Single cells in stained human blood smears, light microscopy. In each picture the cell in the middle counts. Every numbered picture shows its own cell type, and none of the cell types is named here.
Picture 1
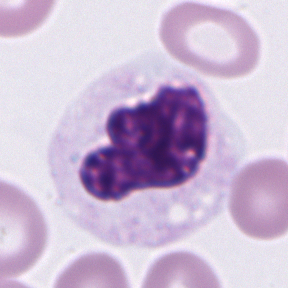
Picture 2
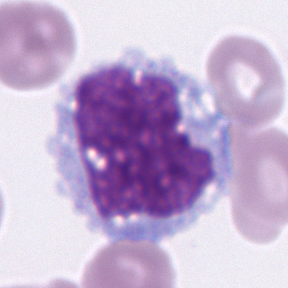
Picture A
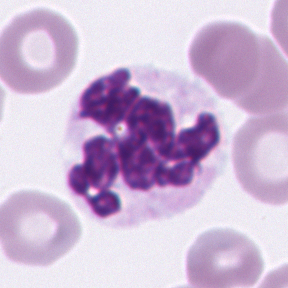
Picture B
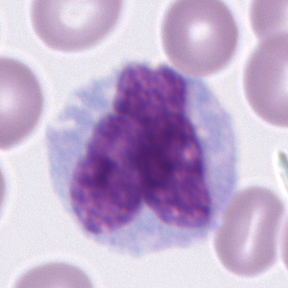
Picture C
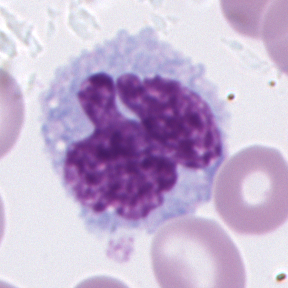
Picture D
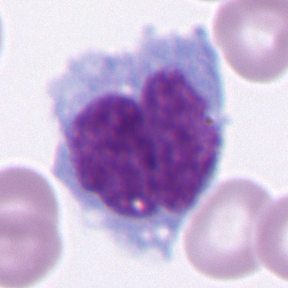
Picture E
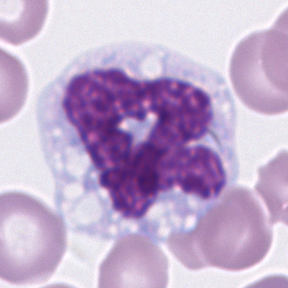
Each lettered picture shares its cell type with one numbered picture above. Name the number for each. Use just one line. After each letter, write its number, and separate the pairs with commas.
A 1, B 2, C 2, D 2, E 2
